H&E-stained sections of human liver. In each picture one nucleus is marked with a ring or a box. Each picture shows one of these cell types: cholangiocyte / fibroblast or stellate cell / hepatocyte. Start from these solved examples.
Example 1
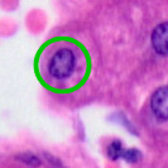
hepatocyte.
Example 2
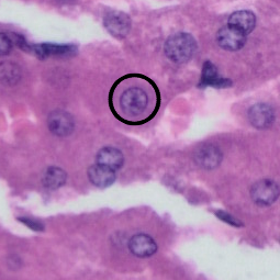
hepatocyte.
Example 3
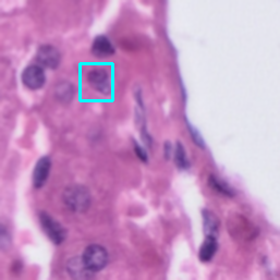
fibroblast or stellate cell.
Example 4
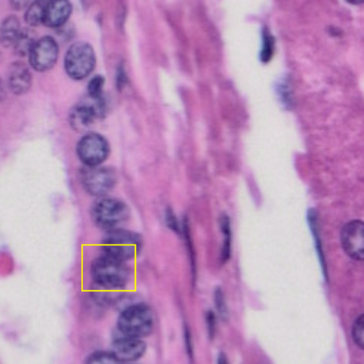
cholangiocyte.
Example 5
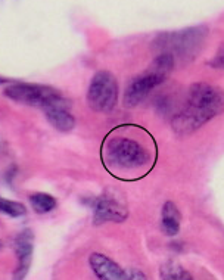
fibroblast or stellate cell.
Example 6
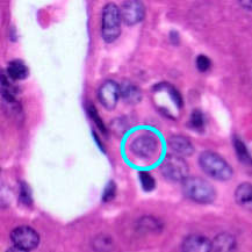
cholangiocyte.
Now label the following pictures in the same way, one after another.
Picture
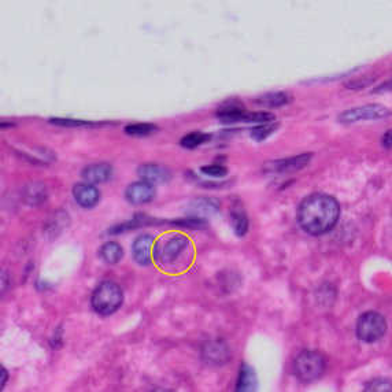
cholangiocyte.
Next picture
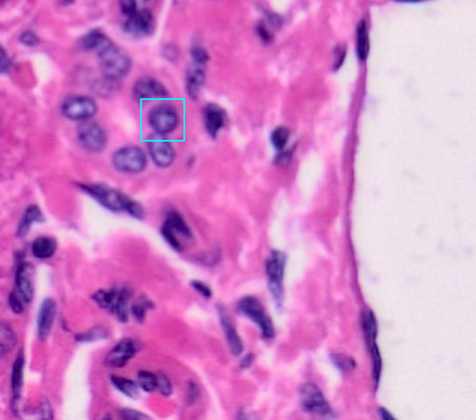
cholangiocyte.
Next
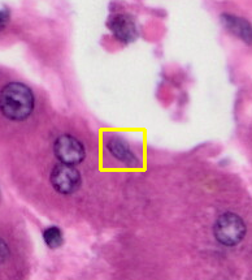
fibroblast or stellate cell.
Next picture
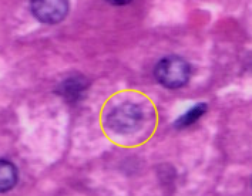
hepatocyte.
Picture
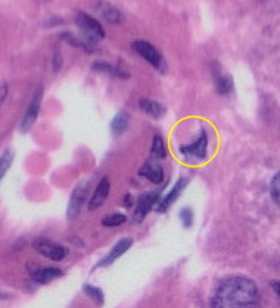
fibroblast or stellate cell.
